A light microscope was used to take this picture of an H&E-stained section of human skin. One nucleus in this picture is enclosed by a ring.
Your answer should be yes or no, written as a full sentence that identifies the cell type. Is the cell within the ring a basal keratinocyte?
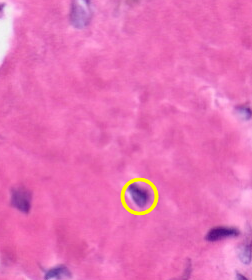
No, for the cell within the ring the correct label is a fibroblast and not a basal keratinocyte.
